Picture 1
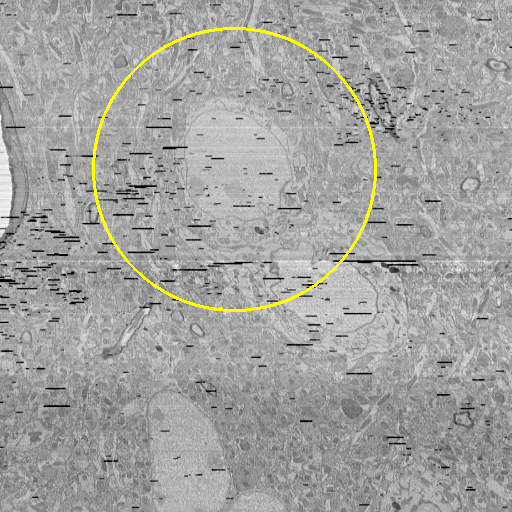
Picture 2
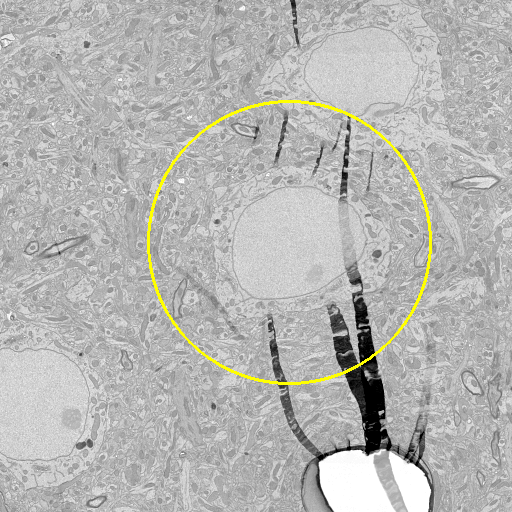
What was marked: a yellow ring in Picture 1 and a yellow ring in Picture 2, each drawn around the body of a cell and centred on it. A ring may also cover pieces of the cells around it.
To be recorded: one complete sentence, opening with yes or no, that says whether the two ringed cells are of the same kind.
Yes, the two ringed cells are of the same kind.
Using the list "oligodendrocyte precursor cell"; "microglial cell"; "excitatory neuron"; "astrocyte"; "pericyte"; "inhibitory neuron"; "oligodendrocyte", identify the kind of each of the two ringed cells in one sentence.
In each of the two pictures, the ringed cell is an excitatory neuron.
